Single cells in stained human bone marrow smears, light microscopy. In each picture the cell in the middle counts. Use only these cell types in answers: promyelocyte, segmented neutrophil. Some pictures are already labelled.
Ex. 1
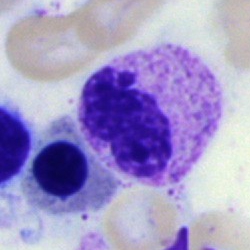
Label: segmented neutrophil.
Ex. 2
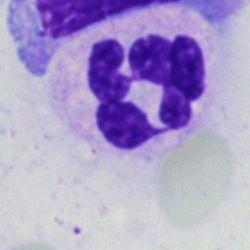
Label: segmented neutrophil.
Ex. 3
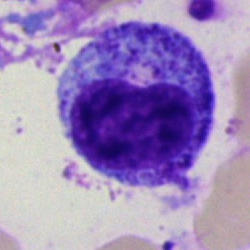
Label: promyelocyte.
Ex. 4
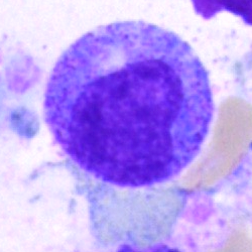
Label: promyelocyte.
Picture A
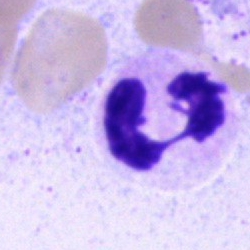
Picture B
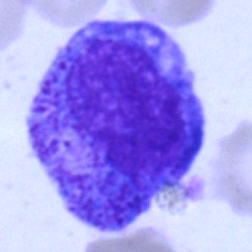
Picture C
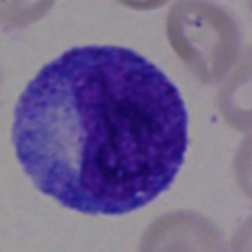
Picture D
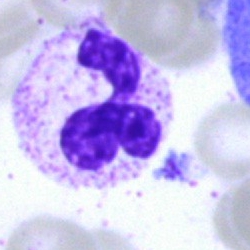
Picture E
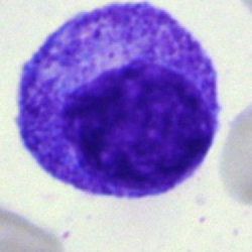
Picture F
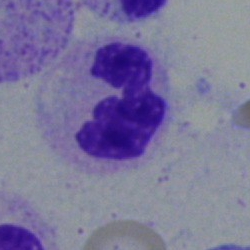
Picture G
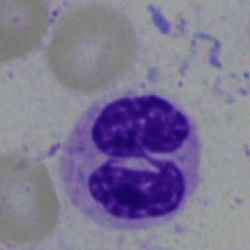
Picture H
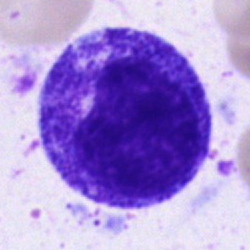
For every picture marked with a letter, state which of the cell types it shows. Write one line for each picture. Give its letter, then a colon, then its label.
A: segmented neutrophil.
B: promyelocyte.
C: promyelocyte.
D: segmented neutrophil.
E: promyelocyte.
F: segmented neutrophil.
G: segmented neutrophil.
H: promyelocyte.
